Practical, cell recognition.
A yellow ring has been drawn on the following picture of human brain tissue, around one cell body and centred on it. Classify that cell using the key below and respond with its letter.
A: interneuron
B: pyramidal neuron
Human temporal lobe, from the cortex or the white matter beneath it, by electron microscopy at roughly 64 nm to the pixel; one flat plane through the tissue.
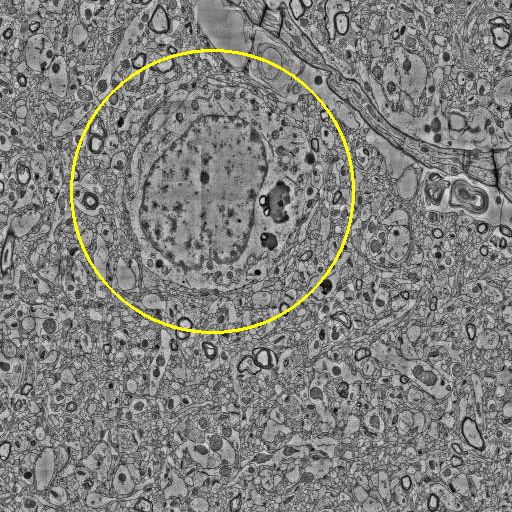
A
